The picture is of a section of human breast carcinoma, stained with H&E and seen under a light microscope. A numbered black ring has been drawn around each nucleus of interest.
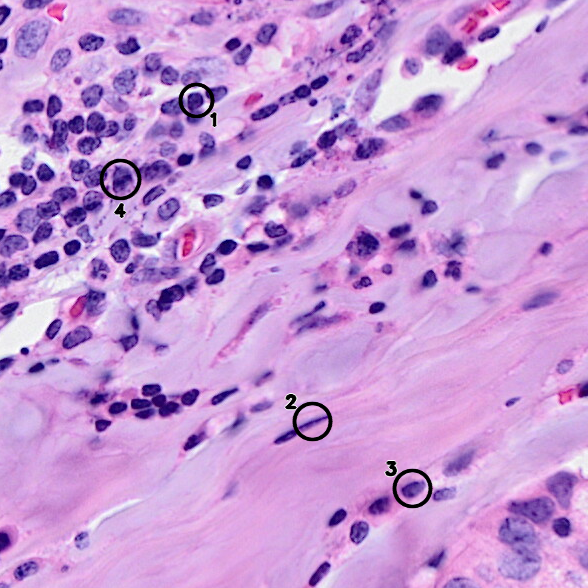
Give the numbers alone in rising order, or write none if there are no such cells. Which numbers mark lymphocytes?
1, 3, 4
